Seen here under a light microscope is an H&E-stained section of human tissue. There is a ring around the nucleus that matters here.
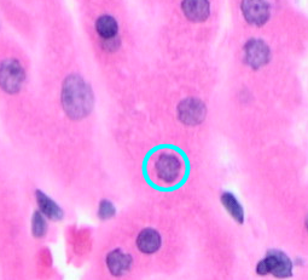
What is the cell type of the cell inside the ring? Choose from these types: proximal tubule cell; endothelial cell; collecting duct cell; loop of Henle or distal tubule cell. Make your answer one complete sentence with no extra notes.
The identity of the cell inside the ring is that of a proximal tubule cell.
